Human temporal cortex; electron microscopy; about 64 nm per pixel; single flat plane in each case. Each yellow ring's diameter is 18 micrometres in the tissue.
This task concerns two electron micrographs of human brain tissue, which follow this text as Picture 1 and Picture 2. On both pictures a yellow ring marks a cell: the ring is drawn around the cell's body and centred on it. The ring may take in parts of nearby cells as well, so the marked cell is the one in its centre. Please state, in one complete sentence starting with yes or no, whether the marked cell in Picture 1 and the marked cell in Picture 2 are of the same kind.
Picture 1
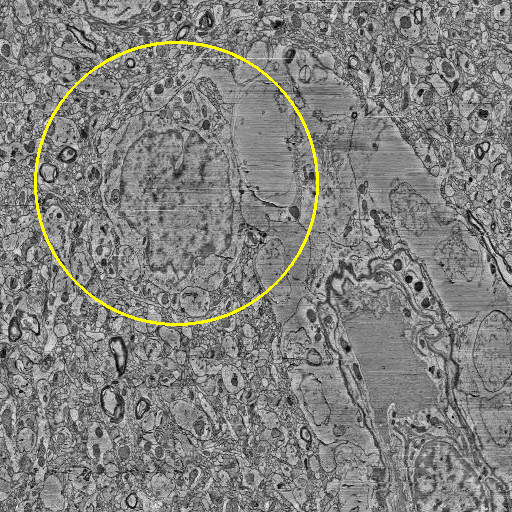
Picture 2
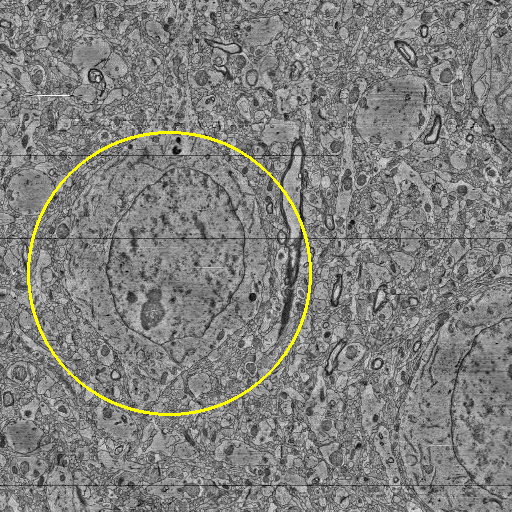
No, the marked cells in the two pictures are of two kinds.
